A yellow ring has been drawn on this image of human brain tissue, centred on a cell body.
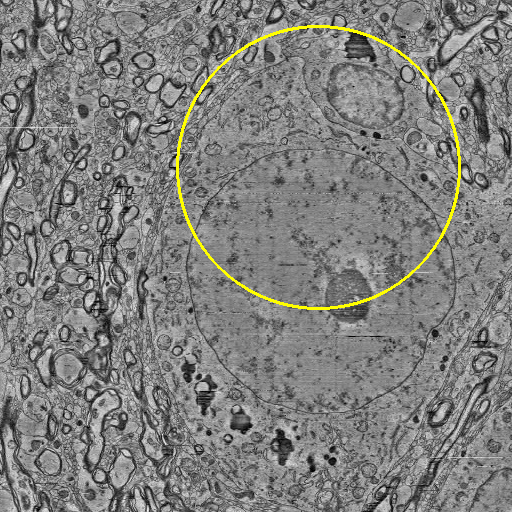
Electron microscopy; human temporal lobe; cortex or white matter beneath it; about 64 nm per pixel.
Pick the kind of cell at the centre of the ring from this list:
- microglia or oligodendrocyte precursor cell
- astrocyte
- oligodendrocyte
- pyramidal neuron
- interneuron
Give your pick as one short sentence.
The centre of the ring holds a pyramidal neuron.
